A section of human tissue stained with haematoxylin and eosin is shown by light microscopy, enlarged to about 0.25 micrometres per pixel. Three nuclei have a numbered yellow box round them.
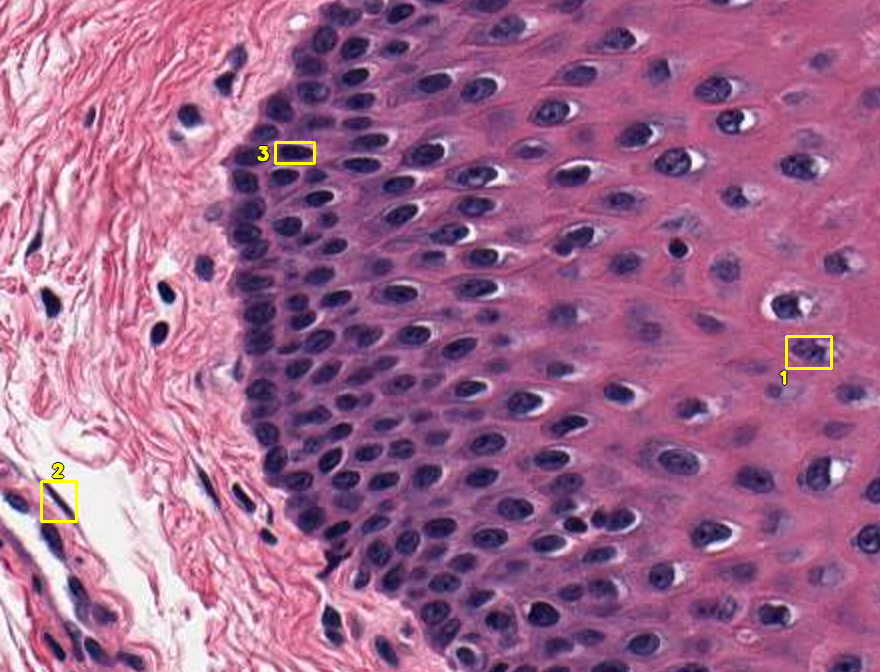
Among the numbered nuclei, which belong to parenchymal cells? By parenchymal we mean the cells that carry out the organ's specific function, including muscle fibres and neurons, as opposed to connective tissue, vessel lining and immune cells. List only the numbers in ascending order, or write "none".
1, 3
